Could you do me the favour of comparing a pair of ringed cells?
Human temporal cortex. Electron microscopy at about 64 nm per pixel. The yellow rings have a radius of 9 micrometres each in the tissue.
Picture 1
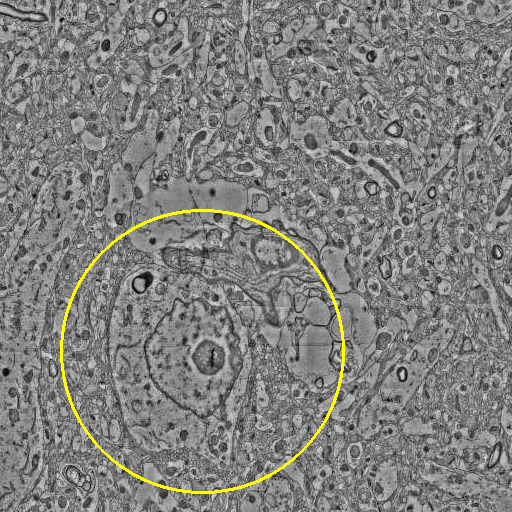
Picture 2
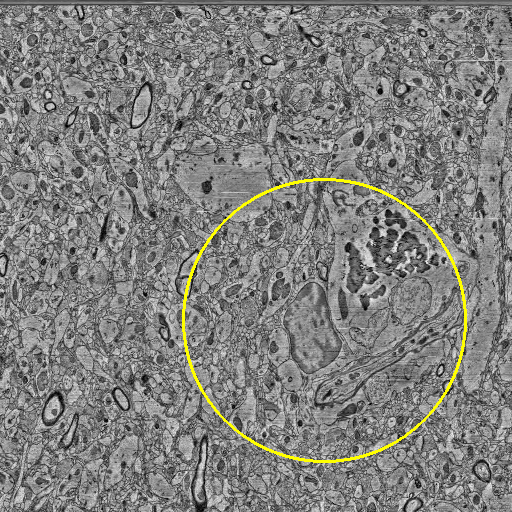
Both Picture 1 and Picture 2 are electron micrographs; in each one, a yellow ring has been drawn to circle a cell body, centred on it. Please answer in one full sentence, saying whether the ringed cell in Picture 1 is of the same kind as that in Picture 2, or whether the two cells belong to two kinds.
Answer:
The ringed cells in Picture 1 and Picture 2 belong to two kinds.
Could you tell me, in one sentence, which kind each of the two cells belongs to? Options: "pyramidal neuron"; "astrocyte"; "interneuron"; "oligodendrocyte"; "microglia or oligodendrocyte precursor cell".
At the centre of the first ring sits a pyramidal neuron, and at the centre of the second sits a microglial cell or oligodendrocyte precursor cell.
